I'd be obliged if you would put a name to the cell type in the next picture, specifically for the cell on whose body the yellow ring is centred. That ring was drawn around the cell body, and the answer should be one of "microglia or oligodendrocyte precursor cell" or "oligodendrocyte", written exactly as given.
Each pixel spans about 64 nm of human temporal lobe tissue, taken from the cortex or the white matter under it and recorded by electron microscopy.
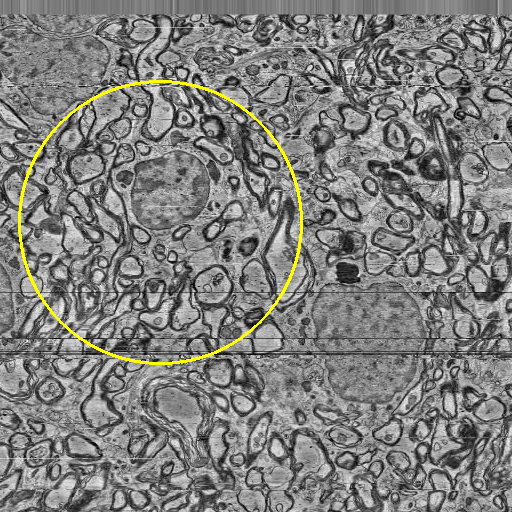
microglia or oligodendrocyte precursor cell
